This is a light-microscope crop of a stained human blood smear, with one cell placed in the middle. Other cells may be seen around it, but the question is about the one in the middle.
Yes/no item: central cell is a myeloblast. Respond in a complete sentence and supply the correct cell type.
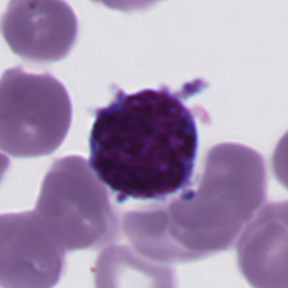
Yes, the cell that is in the middle is a myeloblast.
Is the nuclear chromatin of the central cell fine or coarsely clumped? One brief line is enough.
You can see that its chromatin is coarsely clumped.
